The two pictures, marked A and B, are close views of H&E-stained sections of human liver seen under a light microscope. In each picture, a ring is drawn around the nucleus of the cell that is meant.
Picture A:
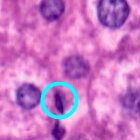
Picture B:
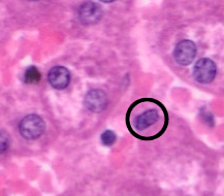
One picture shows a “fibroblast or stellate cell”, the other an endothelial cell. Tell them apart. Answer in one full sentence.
Picture A is of an endothelial cell, and picture B is of a “fibroblast or stellate cell”.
